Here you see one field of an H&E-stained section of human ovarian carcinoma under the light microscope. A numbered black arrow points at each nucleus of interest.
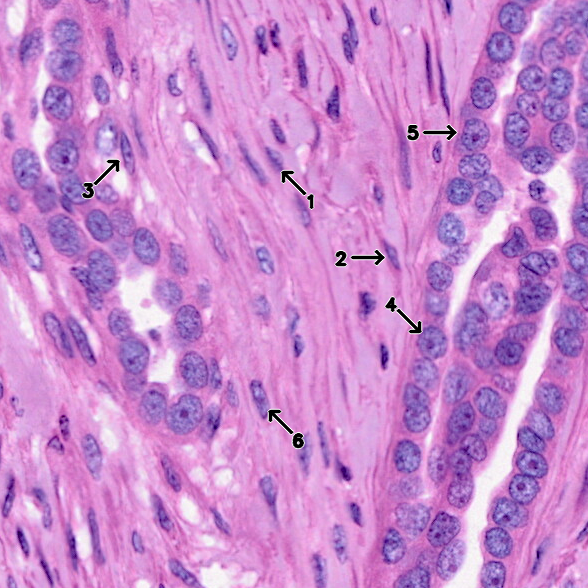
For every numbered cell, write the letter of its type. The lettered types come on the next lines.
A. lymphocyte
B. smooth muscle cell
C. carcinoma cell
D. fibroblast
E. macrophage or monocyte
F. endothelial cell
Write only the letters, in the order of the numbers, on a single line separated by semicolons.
D; D; D; C; C; D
